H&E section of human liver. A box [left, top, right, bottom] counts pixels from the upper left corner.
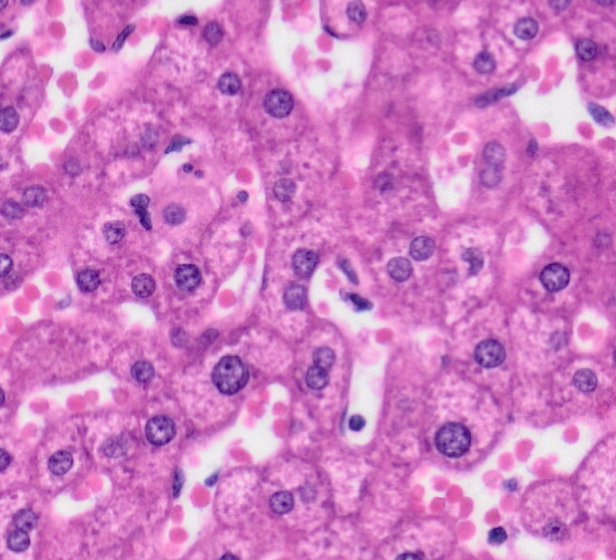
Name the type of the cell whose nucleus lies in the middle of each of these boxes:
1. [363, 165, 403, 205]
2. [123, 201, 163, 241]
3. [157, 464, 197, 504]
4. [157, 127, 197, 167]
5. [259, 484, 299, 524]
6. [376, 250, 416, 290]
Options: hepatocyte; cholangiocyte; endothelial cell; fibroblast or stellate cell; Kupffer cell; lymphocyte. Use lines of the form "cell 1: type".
cell 1: hepatocyte
cell 2: fibroblast or stellate cell
cell 3: endothelial cell
cell 4: endothelial cell
cell 5: hepatocyte
cell 6: hepatocyte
